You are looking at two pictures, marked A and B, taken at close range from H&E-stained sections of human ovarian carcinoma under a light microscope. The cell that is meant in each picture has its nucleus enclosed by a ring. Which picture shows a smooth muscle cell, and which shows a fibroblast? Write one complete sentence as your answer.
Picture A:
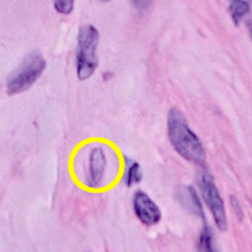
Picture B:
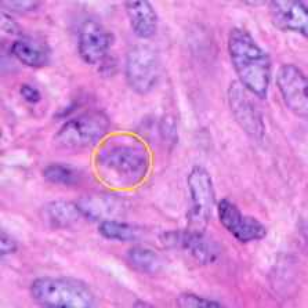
Picture B shows a fibroblast, while picture A shows a smooth muscle cell.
